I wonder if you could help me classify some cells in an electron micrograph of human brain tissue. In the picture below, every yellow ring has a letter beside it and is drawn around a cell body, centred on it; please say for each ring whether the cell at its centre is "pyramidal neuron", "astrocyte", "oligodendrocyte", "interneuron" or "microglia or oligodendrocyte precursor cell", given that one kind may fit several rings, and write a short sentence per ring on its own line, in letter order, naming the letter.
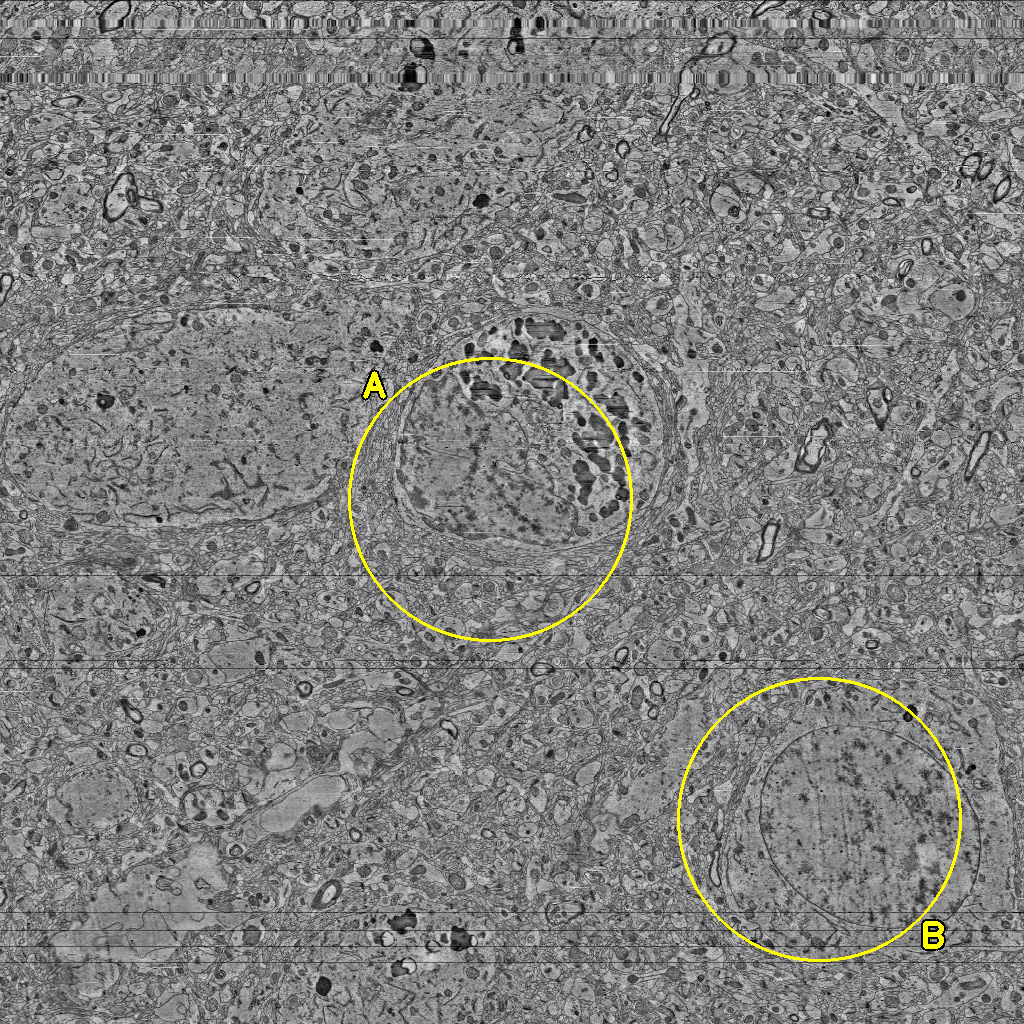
Centred in ring A is an interneuron.
Centred in ring B is a pyramidal neuron.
